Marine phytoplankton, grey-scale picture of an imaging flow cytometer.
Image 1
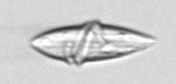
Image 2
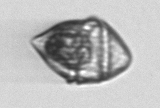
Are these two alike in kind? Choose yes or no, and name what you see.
Yes. Gyrodinium.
